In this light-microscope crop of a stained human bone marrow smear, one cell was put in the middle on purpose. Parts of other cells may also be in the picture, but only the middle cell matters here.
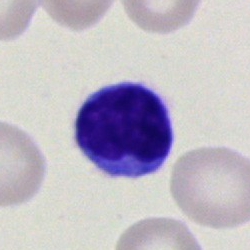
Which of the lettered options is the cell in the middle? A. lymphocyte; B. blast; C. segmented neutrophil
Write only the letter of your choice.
A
